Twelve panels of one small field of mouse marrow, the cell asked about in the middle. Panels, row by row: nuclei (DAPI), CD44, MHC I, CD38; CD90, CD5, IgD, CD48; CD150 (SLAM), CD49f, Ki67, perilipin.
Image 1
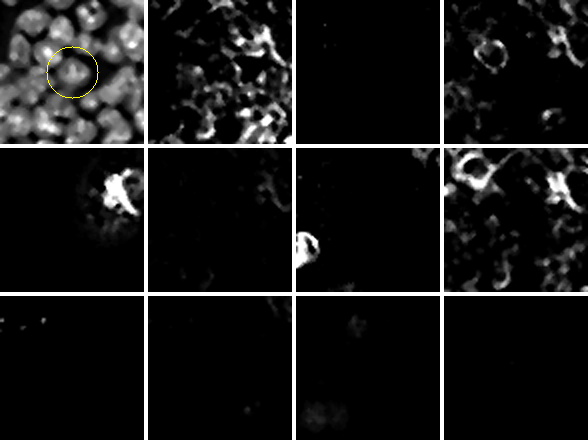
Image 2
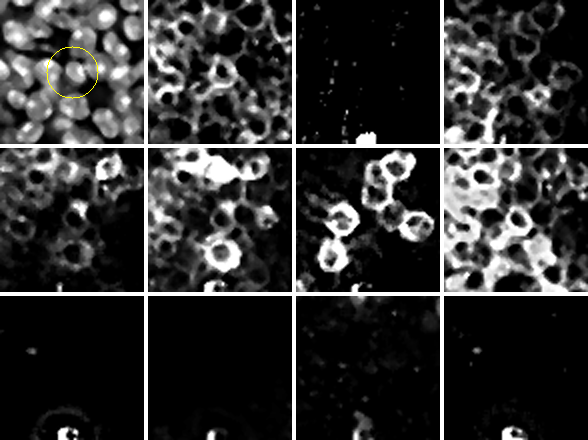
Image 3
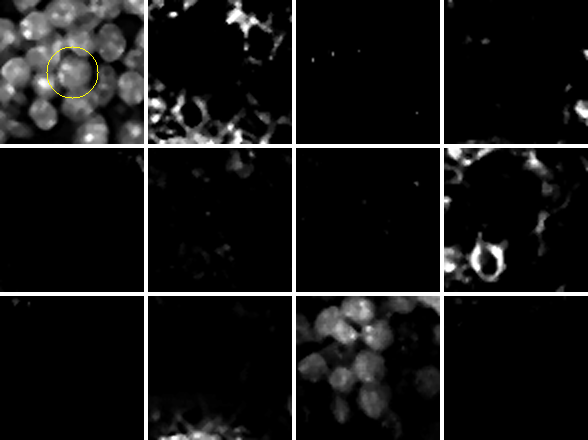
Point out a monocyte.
That is picture 2.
